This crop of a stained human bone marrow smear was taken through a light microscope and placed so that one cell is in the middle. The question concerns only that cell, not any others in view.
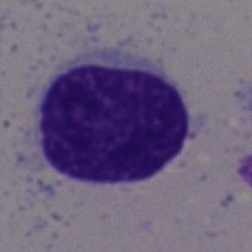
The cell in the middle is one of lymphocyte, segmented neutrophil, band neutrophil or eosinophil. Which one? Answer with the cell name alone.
lymphocyte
